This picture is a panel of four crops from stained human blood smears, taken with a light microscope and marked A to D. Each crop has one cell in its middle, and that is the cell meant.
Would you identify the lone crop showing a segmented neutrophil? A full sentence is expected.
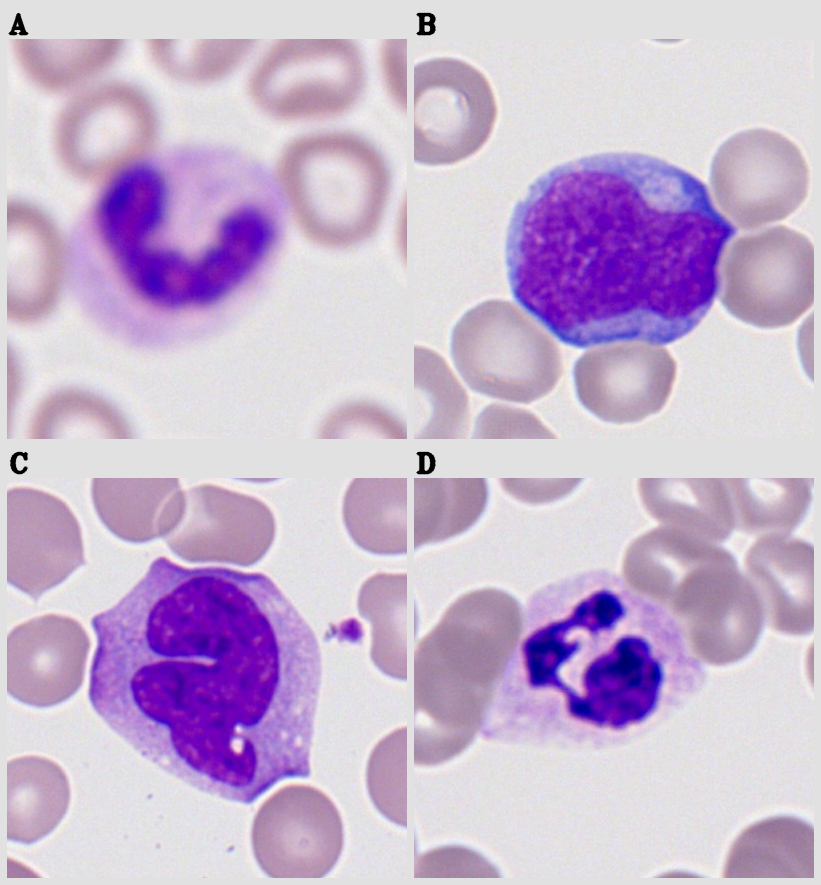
In this series, a segmented neutrophil is shown by crop D.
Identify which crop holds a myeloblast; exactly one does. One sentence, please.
The crop marked B is the one in which a myeloblast is shown.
